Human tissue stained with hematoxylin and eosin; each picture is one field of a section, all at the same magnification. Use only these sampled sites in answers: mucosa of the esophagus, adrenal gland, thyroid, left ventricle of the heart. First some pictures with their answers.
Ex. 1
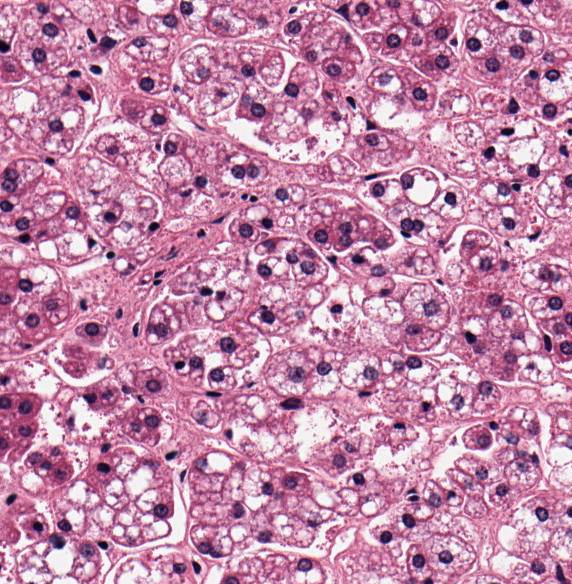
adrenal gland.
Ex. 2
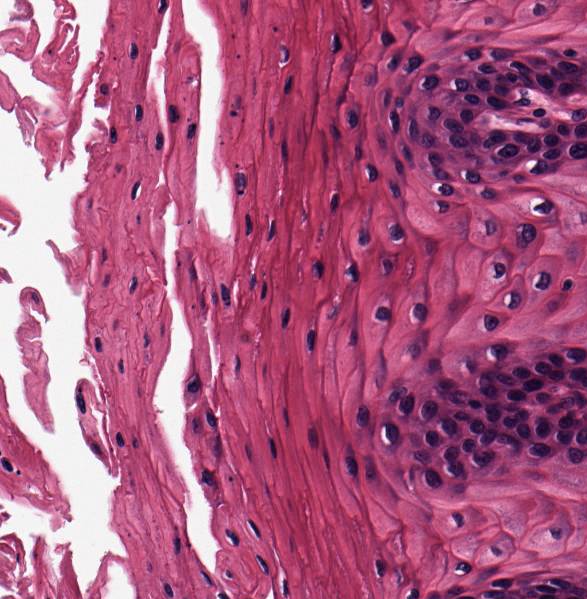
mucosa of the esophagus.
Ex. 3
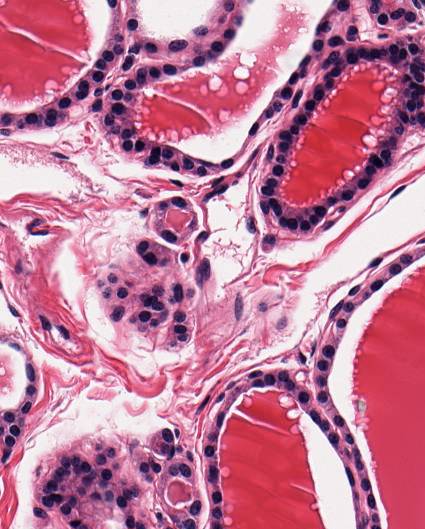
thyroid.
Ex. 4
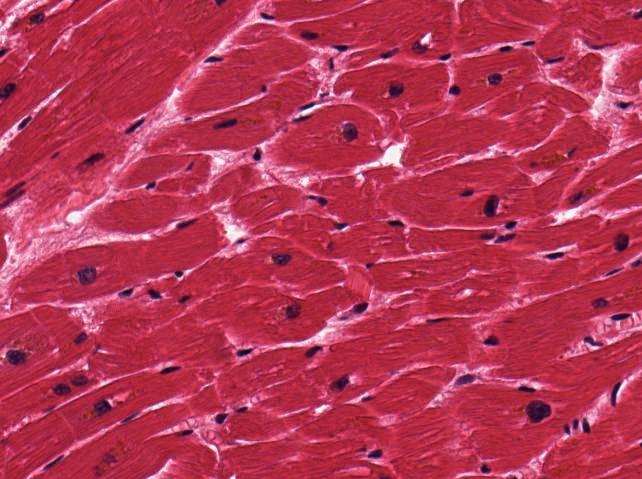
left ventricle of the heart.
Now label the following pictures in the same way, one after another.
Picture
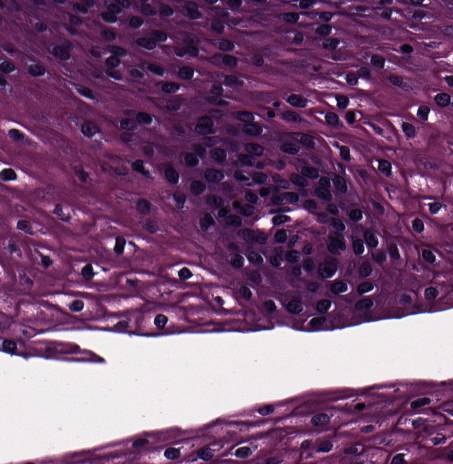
mucosa of the esophagus.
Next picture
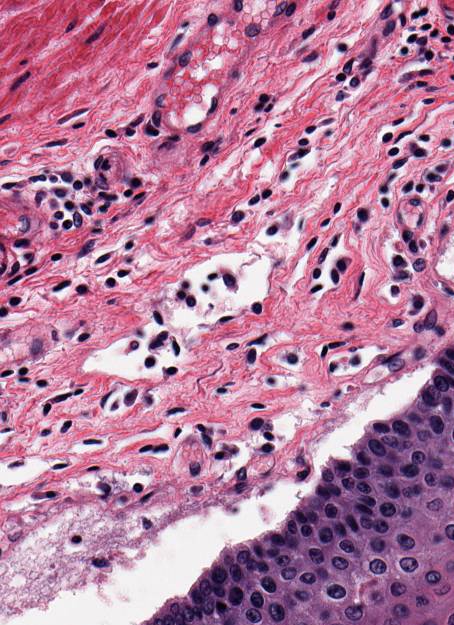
mucosa of the esophagus.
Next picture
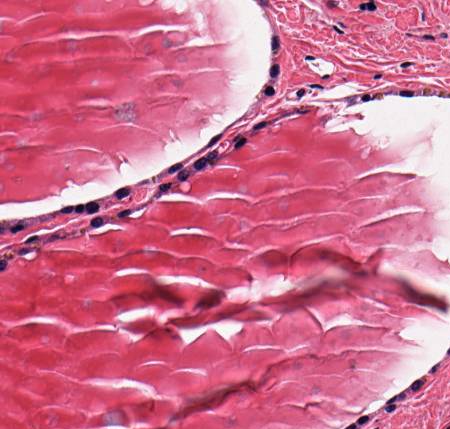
thyroid.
